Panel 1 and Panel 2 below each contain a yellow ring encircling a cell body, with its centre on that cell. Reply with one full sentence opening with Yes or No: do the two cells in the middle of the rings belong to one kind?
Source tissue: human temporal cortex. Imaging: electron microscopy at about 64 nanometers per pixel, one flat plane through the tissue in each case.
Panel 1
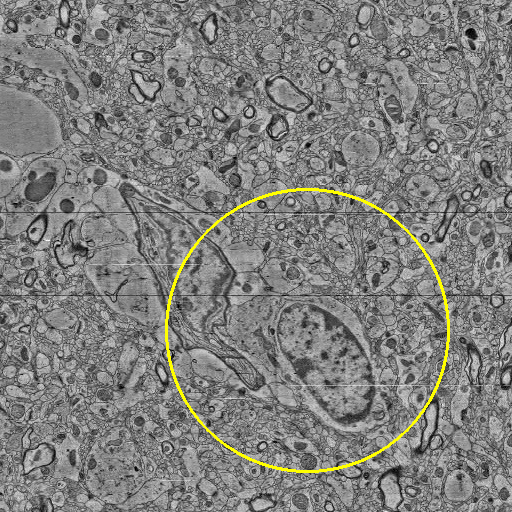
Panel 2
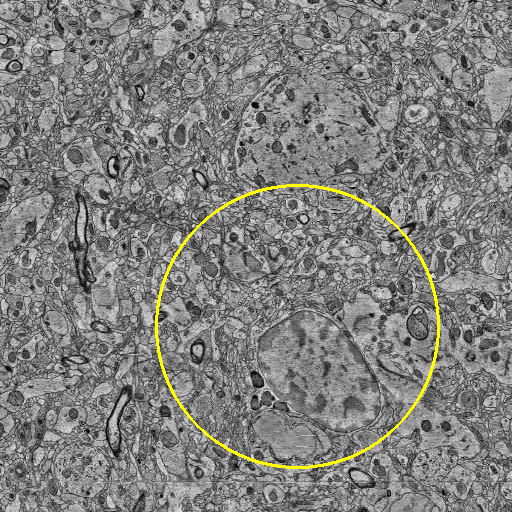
Yes, the cells at the middle of the Panel 1 ring and the Panel 2 ring are of one kind.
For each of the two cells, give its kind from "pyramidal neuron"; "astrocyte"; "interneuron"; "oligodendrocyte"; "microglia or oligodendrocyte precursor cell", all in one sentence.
In the first picture and in the second, the ring is centred on a microglial cell or oligodendrocyte precursor cell.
